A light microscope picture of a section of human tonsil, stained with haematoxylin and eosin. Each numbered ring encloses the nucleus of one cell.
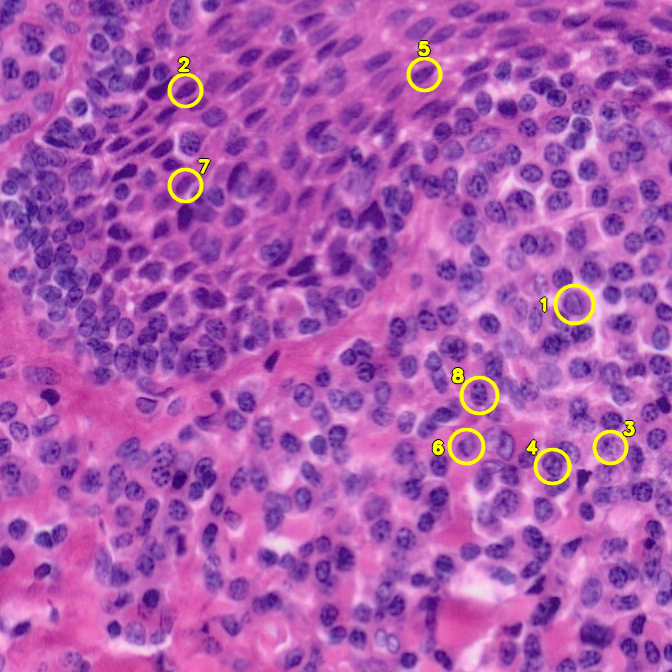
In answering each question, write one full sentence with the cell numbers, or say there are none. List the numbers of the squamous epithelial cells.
In this section, the cells labelled 2, 5 and 7 are squamous epithelial cells.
